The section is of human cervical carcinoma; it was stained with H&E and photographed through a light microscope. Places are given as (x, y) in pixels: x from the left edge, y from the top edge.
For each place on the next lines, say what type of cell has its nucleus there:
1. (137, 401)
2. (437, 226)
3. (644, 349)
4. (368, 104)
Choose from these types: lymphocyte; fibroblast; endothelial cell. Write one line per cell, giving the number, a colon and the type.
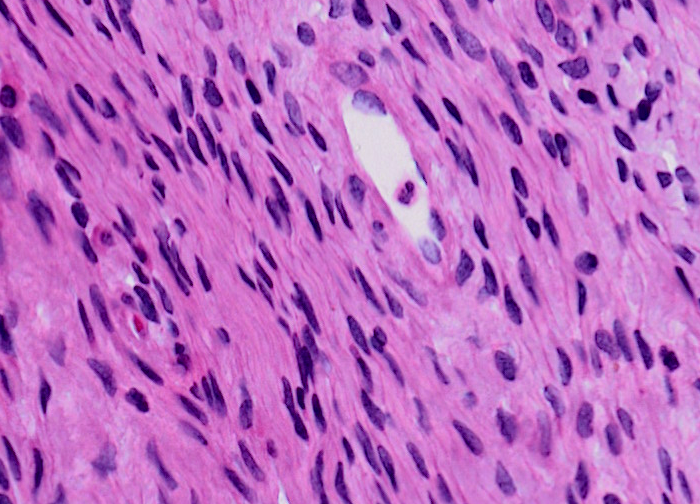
1: lymphocyte
2: endothelial cell
3: fibroblast
4: endothelial cell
